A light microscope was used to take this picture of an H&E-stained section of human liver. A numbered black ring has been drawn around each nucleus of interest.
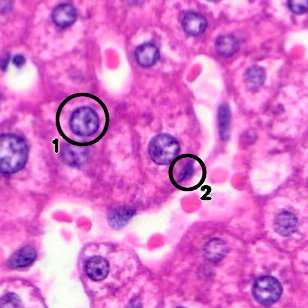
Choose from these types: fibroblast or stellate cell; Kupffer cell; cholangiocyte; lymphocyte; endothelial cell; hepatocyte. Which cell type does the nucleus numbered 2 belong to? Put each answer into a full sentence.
The label 2 in this section denotes a fibroblast or stellate cell.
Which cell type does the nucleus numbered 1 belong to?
Marked with the number 1, this cell is a hepatocyte.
